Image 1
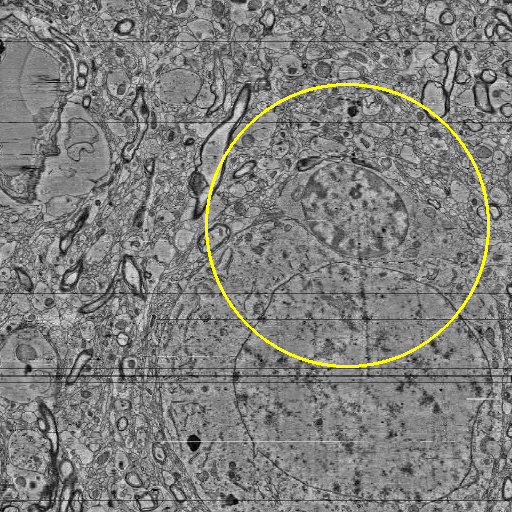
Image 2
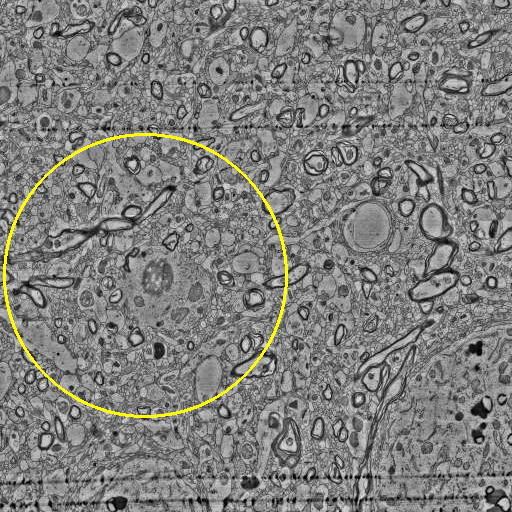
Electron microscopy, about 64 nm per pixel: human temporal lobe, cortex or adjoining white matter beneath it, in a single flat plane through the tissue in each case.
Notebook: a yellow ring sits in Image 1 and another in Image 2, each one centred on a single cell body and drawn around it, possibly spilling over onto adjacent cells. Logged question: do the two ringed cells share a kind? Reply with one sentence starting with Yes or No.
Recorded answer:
Yes, both centre cells inside the rings of Image 1 and Image 2 share one kind.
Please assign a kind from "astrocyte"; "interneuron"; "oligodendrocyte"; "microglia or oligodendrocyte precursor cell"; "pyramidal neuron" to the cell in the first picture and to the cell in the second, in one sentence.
Each cell, in the first picture and the second, is an oligodendrocyte.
